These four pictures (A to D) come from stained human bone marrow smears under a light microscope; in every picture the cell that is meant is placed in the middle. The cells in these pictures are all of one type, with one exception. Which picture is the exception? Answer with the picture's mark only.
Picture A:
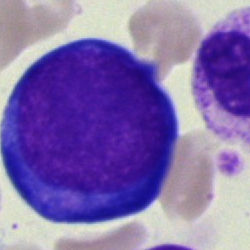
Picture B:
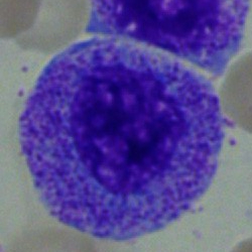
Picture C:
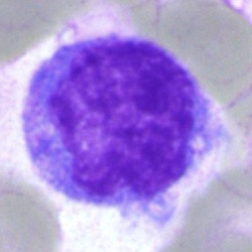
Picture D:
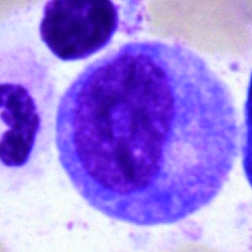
A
